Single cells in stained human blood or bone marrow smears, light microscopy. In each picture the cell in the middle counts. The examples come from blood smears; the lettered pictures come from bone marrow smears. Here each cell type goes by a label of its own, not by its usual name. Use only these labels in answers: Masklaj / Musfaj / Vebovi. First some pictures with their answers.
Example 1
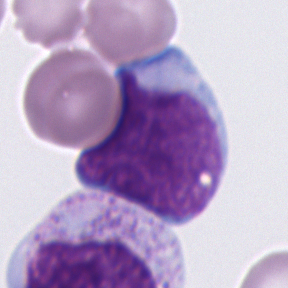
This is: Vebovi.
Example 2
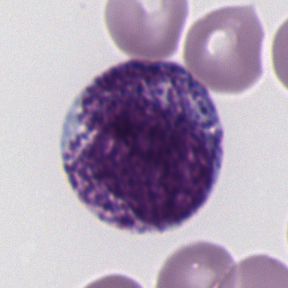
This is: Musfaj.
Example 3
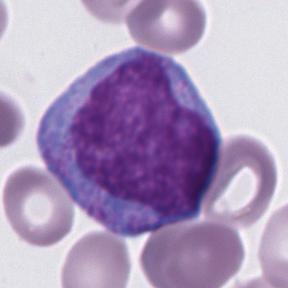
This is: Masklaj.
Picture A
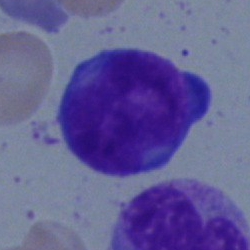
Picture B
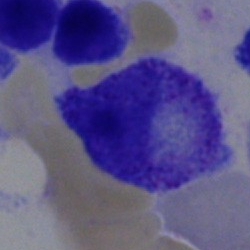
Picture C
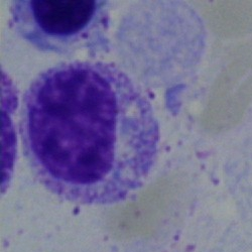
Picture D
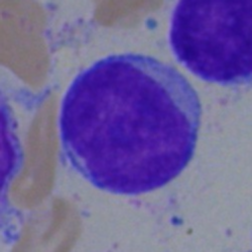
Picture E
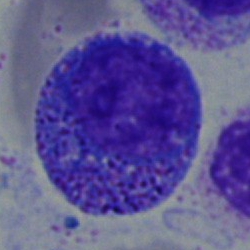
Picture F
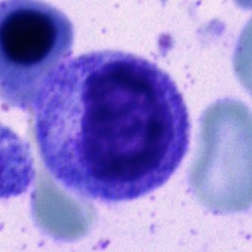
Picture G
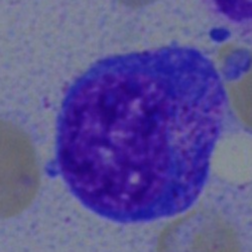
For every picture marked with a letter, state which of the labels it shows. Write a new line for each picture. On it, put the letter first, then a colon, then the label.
A: Vebovi.
B: Musfaj.
C: Musfaj.
D: Vebovi.
E: Masklaj.
F: Masklaj.
G: Masklaj.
